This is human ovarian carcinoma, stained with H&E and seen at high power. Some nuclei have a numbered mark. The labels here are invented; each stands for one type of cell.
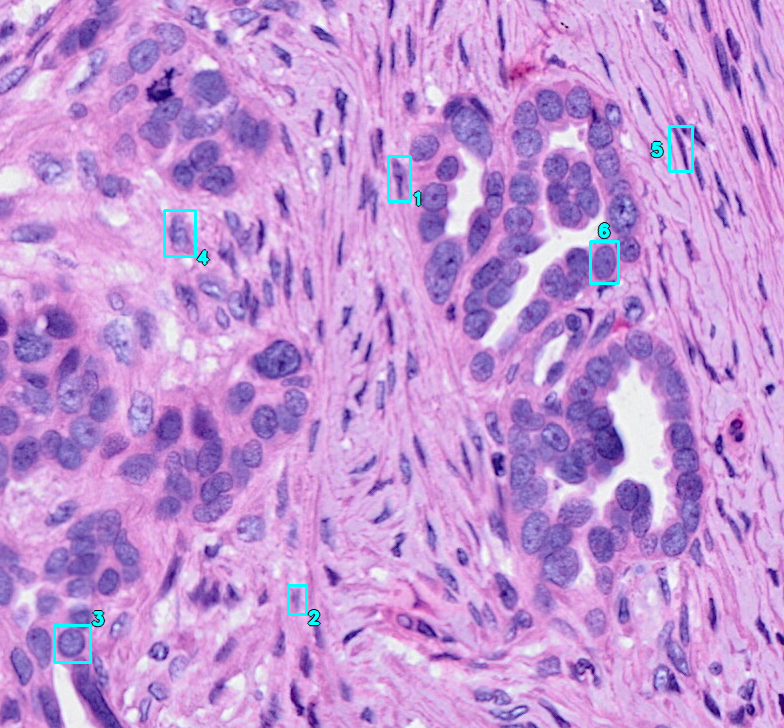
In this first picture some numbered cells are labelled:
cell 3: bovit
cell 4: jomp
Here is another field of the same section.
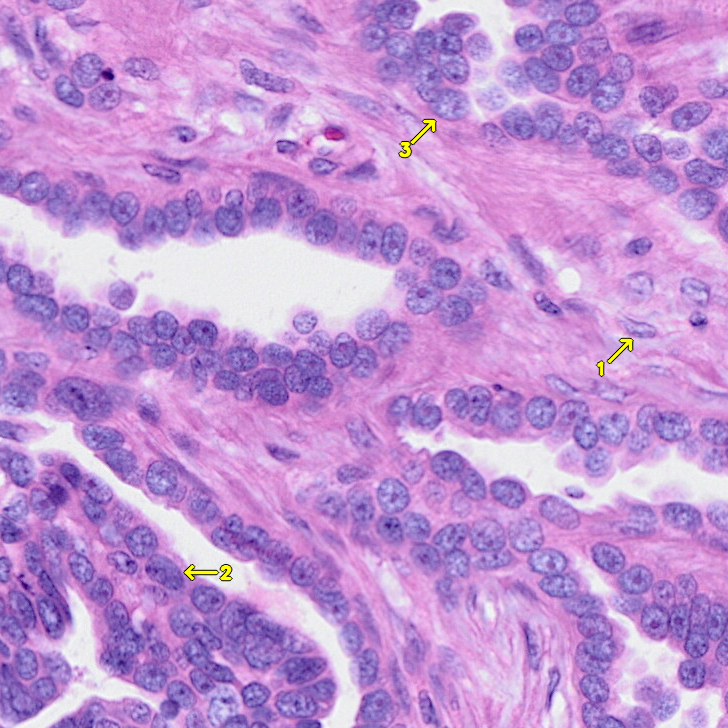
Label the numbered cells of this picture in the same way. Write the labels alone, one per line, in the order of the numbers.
jomp
bovit
bovit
